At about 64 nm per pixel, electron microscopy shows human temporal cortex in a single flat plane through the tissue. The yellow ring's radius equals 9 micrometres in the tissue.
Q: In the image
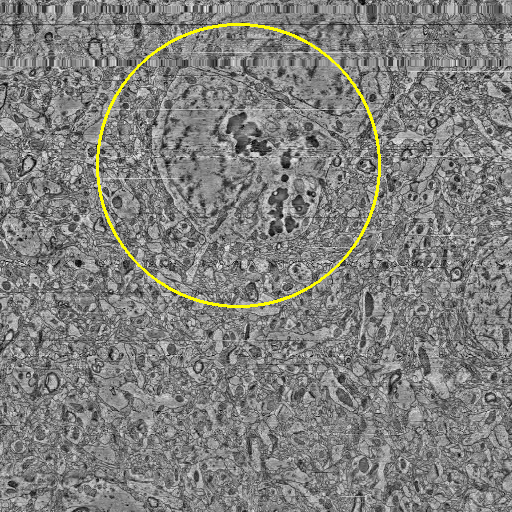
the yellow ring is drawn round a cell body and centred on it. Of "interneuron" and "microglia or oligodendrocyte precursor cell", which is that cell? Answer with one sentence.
The cell centred in the ring is an interneuron.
